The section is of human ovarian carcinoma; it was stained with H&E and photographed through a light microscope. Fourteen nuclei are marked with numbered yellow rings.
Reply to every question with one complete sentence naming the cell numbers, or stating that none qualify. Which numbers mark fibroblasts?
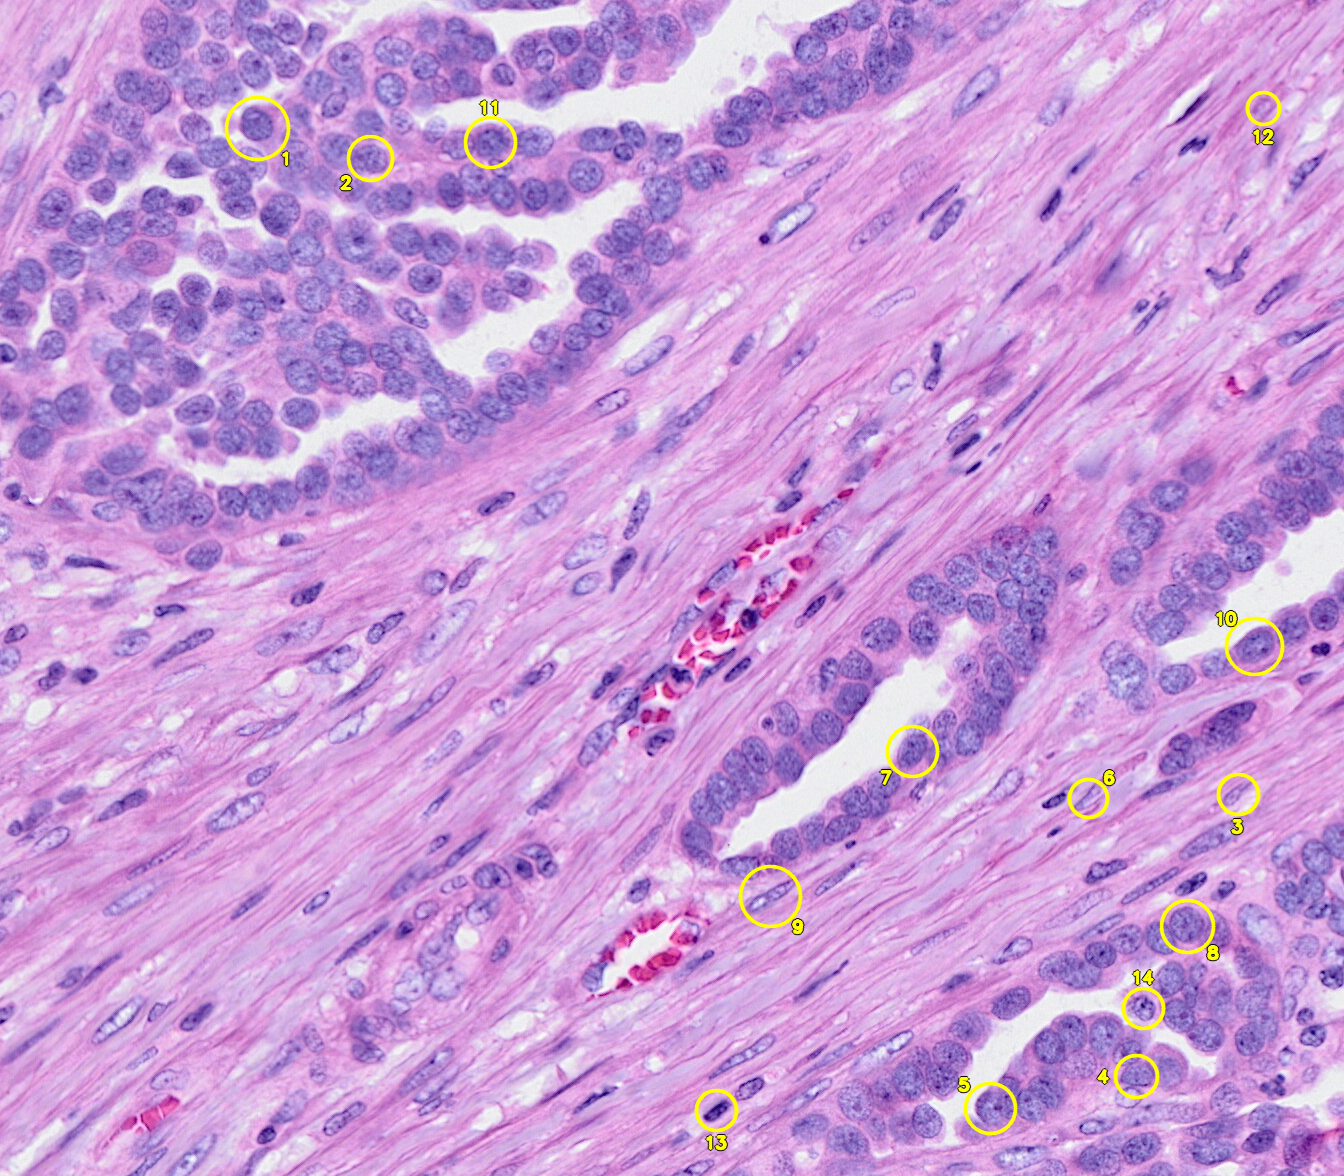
The cells that have been numbered 3, 6, 9 and 12 are fibroblasts.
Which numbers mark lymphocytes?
As for the numbered cells, only cell 13 is a lymphocyte.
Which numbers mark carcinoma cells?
To be specific, the cells numbered 1, 2, 4, 5, 7, 8, 10 and 11 are carcinoma cells.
